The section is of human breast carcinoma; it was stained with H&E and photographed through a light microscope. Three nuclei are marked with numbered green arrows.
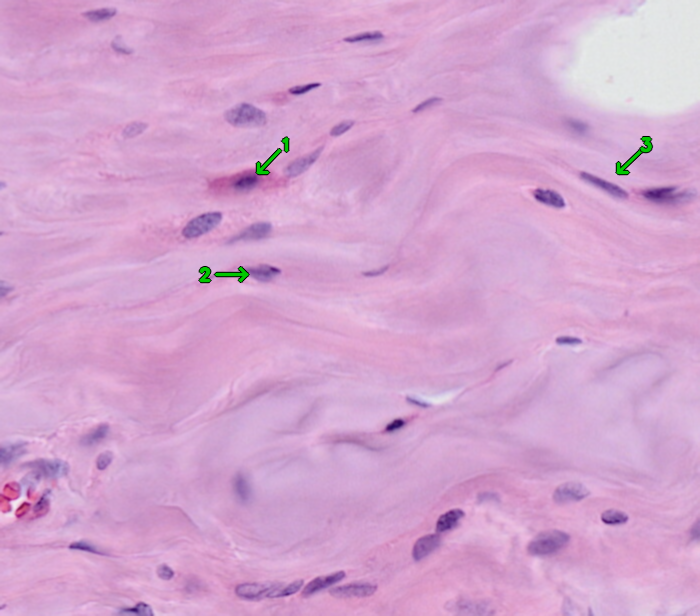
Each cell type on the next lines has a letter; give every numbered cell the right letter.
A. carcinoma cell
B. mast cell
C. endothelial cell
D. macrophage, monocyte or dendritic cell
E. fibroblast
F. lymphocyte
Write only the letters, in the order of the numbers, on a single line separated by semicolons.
B; E; E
